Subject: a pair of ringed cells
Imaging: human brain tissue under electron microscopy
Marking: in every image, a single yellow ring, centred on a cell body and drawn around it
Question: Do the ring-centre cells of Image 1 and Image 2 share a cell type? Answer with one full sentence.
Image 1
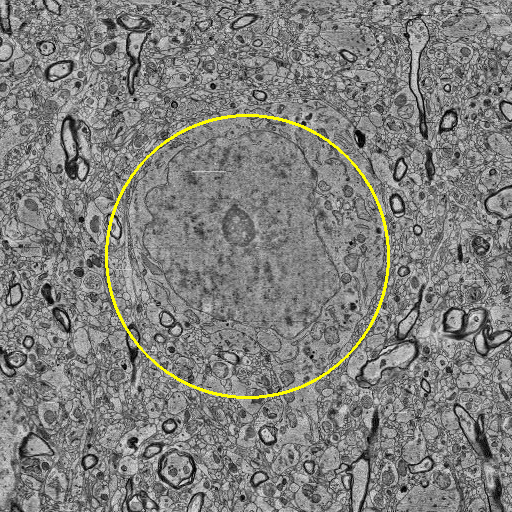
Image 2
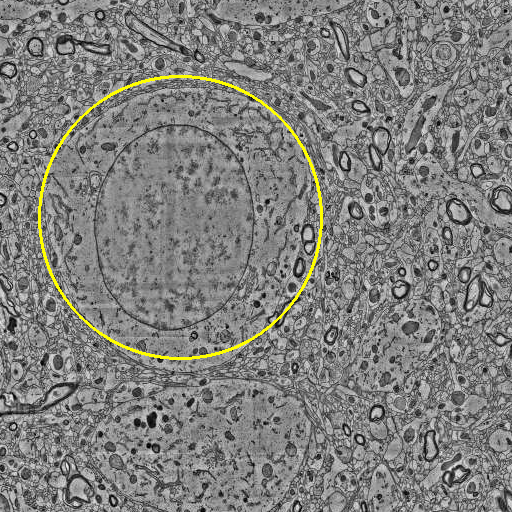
No, at the ring centres in the images sit cells of two separate types.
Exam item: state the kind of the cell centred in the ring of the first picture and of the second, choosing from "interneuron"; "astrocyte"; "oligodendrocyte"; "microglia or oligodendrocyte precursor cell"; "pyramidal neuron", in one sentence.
The first picture shows an interneuron at the ring centre and the second shows a pyramidal neuron.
